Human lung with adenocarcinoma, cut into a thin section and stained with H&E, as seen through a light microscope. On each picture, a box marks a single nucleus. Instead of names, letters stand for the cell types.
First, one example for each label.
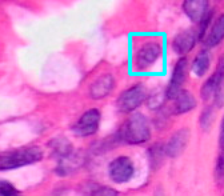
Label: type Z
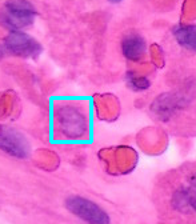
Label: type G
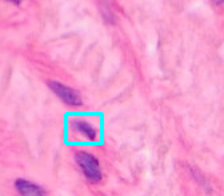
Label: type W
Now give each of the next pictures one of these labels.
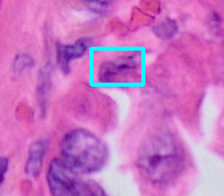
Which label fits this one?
type G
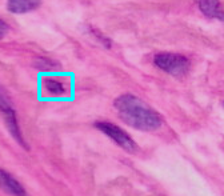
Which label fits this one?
type W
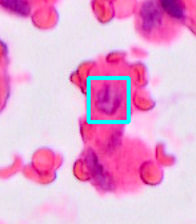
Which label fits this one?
type G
